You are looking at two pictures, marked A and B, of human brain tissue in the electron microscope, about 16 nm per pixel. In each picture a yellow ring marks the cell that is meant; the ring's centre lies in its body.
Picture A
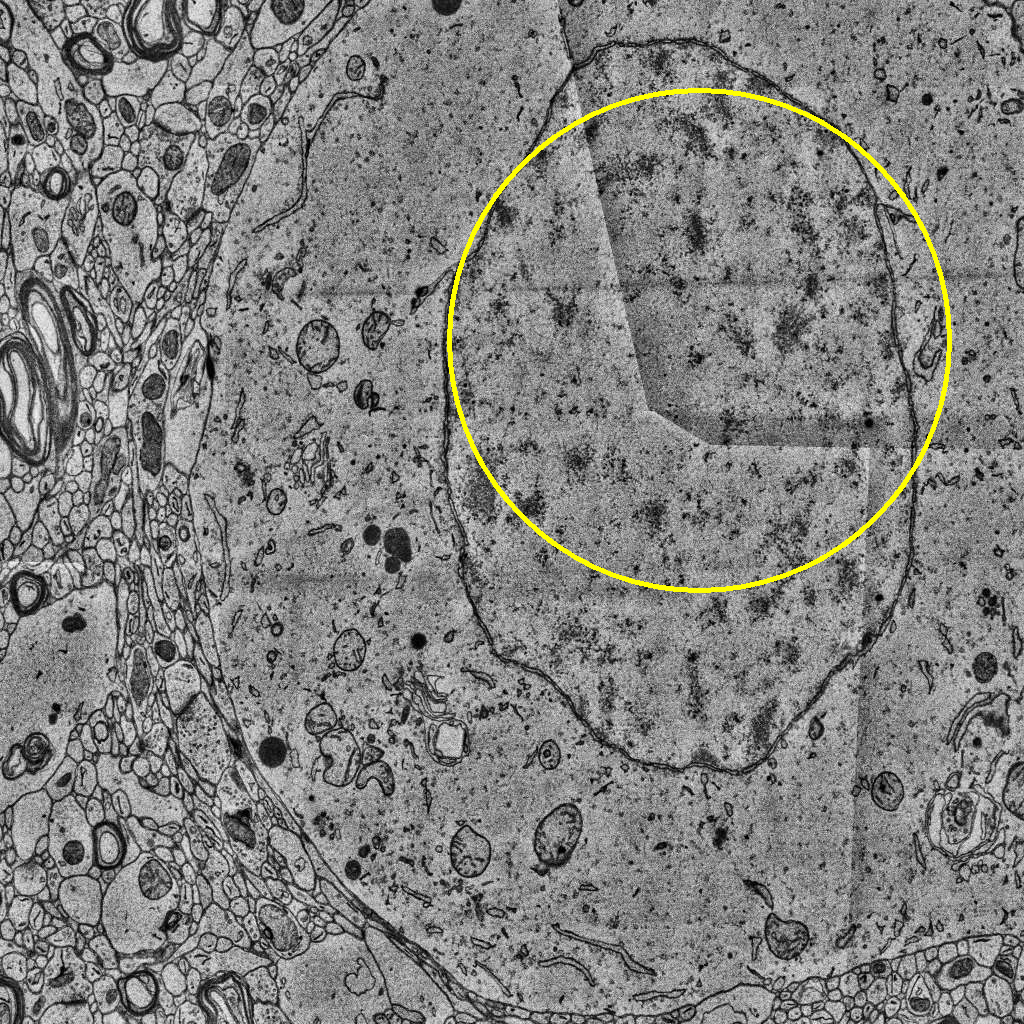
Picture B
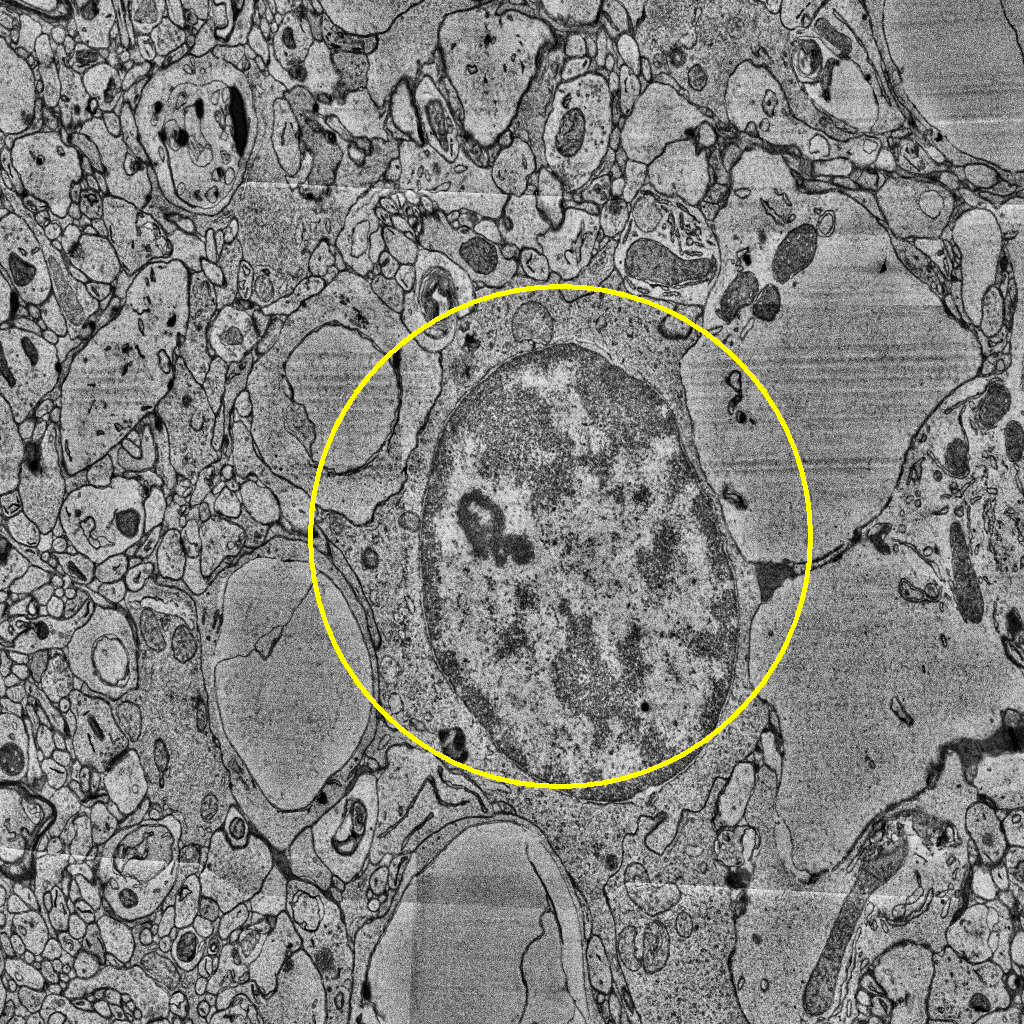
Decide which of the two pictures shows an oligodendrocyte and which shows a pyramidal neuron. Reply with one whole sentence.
Picture B shows an oligodendrocyte, while picture A shows a pyramidal neuron.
